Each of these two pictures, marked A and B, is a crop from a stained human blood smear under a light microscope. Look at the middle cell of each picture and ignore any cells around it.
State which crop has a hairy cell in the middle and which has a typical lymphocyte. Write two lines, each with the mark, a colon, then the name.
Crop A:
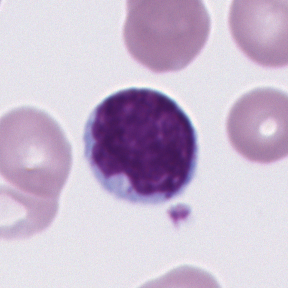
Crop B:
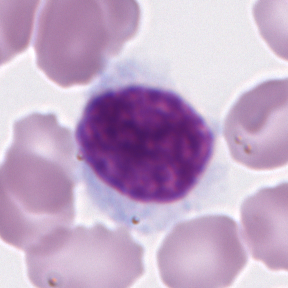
A: typical lymphocyte
B: hairy cell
